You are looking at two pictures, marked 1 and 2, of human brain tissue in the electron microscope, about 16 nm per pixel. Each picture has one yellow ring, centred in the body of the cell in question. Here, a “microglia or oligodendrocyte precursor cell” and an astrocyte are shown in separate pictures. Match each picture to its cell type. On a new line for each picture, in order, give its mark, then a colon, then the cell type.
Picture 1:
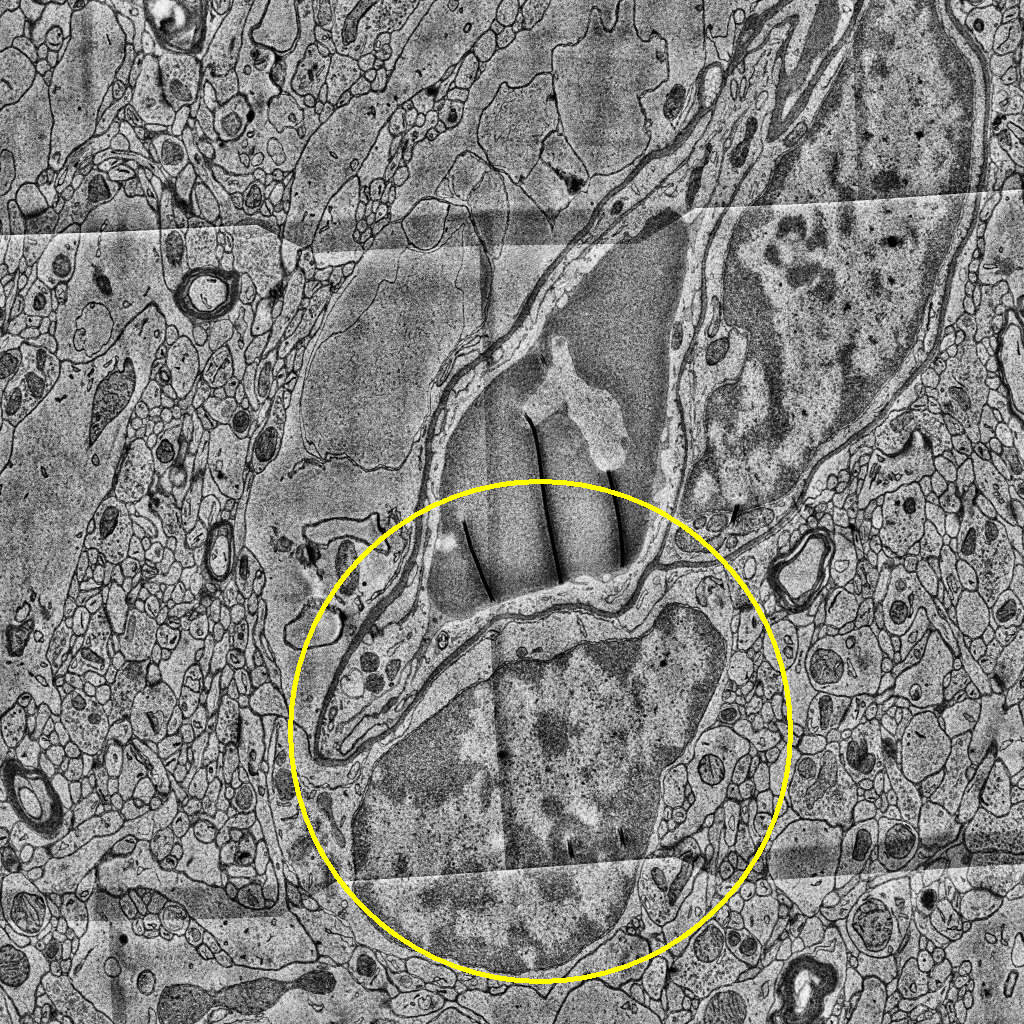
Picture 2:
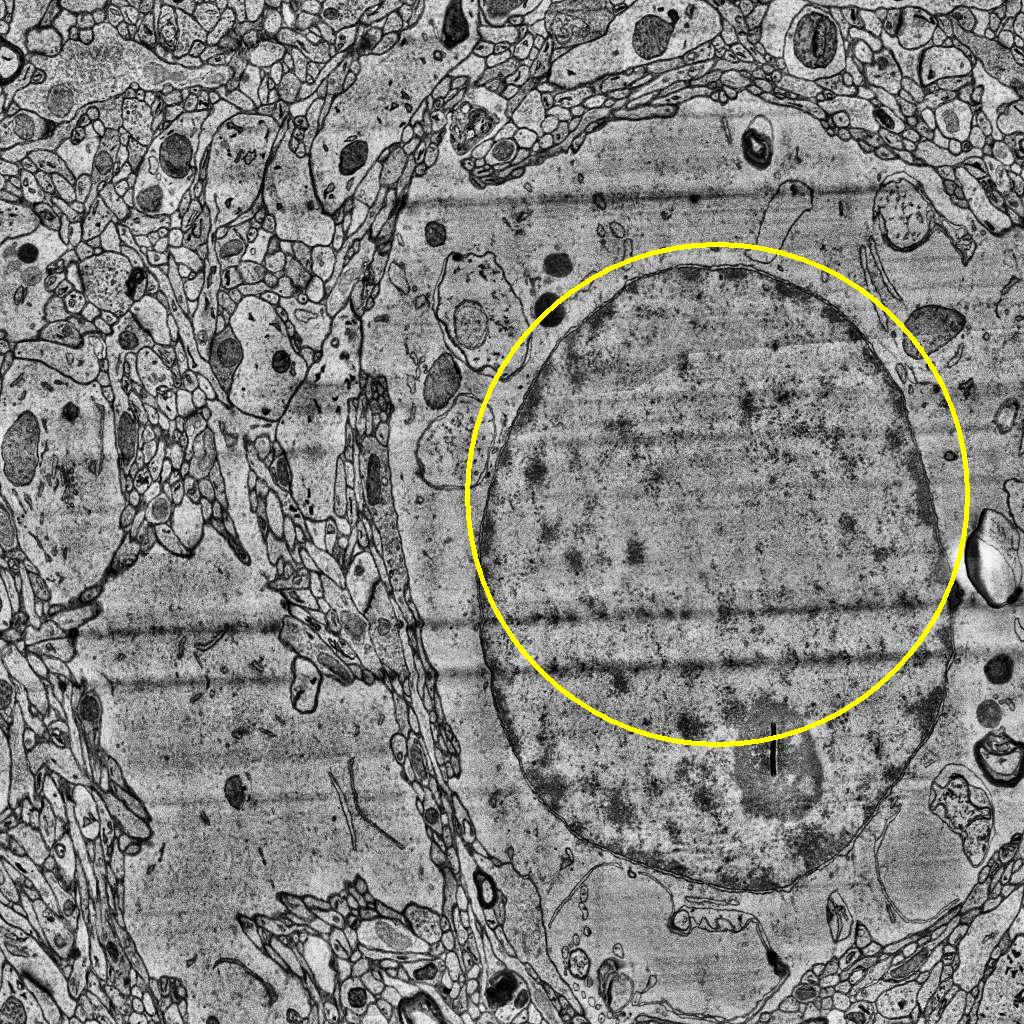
1: microglia or oligodendrocyte precursor cell
2: astrocyte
